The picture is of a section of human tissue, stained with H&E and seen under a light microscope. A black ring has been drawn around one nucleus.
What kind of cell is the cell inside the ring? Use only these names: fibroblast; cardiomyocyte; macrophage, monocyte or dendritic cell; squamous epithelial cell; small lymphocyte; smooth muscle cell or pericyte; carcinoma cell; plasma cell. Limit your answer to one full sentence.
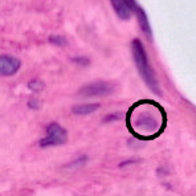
Cell type answer for this item: the cell inside the ring is a smooth muscle cell or pericyte.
